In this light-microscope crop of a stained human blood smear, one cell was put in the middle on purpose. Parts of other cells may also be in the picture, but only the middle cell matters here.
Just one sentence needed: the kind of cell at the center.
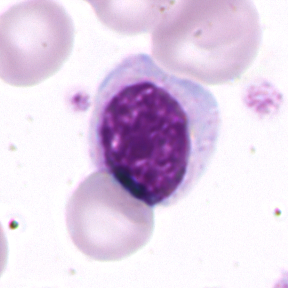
By type, the central cell of the crop is a metamyelocyte.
